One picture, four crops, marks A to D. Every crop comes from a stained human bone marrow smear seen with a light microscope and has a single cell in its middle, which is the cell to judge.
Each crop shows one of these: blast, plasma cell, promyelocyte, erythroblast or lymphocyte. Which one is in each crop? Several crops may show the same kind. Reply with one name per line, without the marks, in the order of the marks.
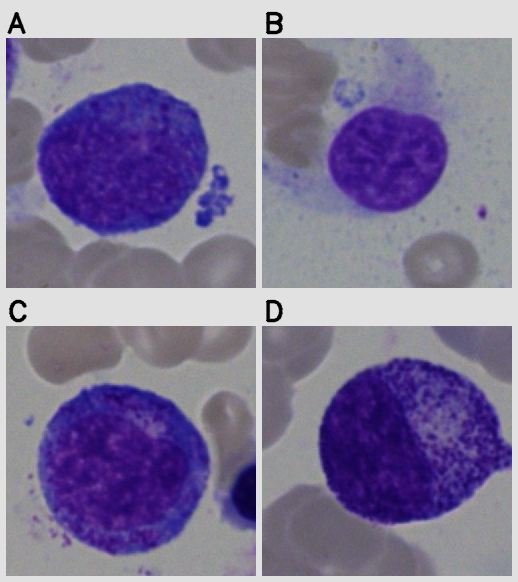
promyelocyte
lymphocyte
promyelocyte
promyelocyte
